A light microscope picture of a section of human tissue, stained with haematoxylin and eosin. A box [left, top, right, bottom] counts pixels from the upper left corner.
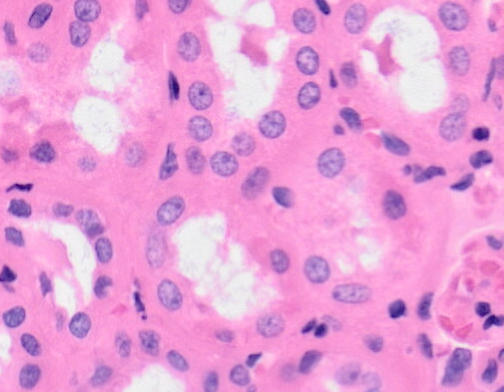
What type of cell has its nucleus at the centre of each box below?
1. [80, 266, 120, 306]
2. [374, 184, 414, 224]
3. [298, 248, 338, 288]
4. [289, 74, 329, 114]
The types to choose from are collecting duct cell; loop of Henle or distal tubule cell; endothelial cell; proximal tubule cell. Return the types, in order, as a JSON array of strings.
["loop of Henle or distal tubule cell", "proximal tubule cell", "proximal tubule cell", "proximal tubule cell"]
